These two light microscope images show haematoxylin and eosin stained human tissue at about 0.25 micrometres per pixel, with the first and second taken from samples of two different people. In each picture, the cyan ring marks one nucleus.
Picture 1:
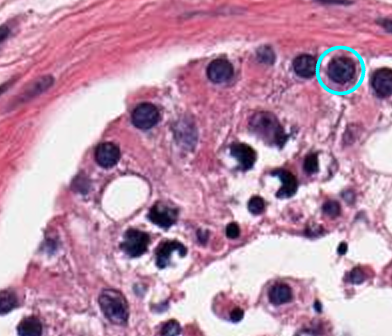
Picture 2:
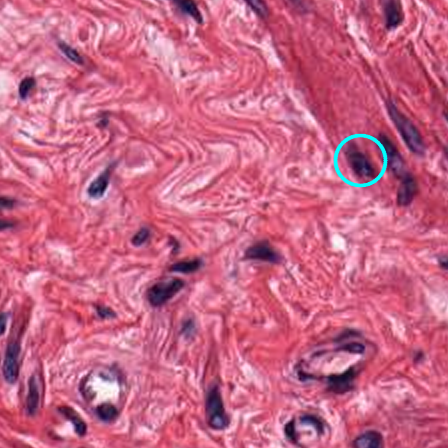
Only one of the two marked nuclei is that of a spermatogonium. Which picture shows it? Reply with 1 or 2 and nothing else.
1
